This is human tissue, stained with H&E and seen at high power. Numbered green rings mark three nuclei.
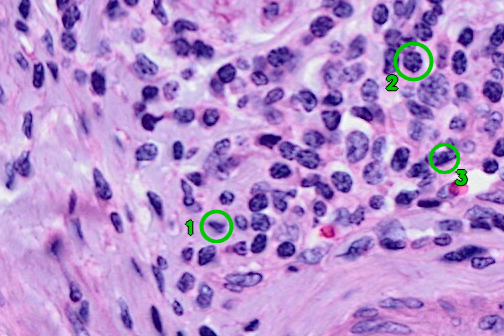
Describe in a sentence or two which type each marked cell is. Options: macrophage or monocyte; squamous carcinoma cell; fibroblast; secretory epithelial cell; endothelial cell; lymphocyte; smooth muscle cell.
Cell 1 is a fibroblast. Cells 2 and 3 are lymphocytes.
